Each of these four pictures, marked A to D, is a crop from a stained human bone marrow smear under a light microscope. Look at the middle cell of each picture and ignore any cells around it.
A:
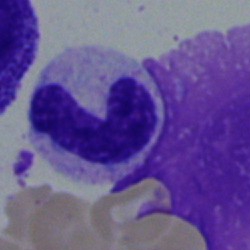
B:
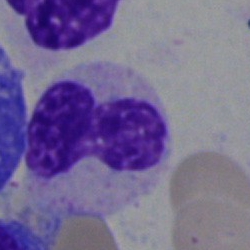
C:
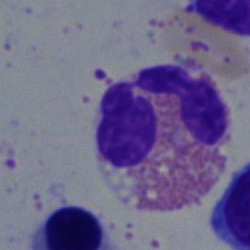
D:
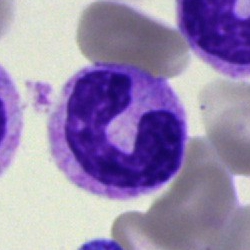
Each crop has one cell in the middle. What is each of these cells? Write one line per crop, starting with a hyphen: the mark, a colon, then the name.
- A: band neutrophil
- B: band neutrophil
- C: eosinophil
- D: band neutrophil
